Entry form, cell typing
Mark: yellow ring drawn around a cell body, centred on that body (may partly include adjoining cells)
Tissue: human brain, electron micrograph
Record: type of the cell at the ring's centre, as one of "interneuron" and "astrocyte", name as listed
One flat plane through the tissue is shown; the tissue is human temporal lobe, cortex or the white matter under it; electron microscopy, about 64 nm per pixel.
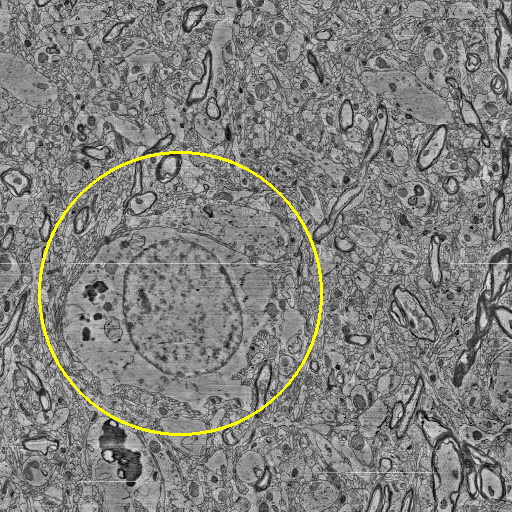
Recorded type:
astrocyte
